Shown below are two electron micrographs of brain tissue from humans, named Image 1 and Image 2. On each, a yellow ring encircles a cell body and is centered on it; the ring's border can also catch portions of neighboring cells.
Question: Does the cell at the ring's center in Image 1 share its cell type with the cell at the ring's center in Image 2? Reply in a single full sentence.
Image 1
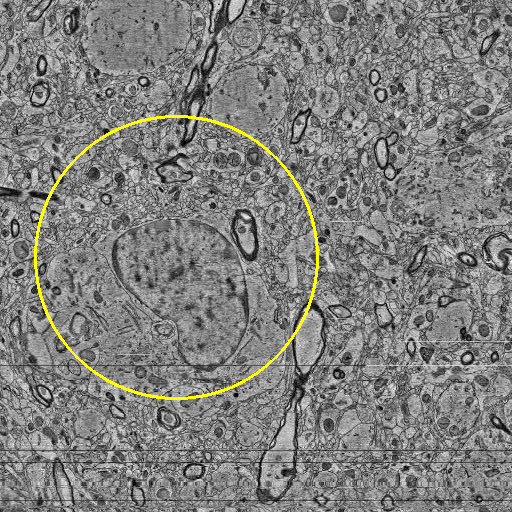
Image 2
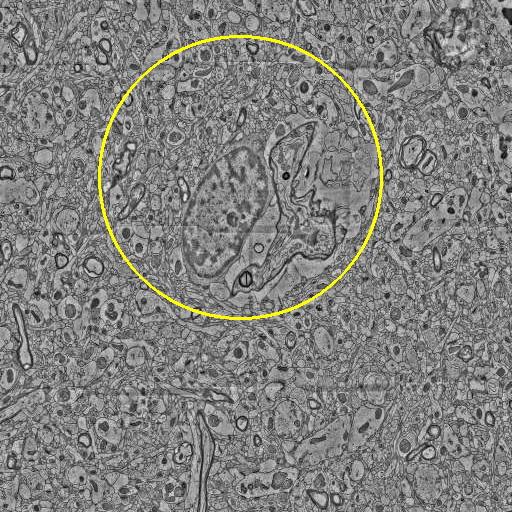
No, the two cells at the ring centers, in Image 1 and Image 2, are of two cell types.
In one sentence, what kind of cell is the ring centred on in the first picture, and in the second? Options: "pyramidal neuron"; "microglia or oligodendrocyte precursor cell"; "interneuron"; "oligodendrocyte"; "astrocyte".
The cell at the centre of the second ring is an oligodendrocyte; the first ring's cell is a microglial cell or oligodendrocyte precursor cell.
